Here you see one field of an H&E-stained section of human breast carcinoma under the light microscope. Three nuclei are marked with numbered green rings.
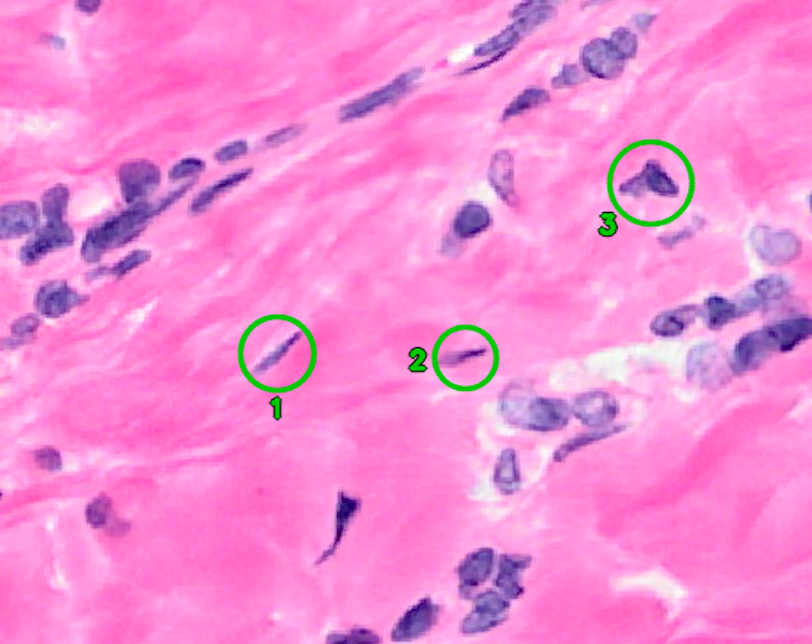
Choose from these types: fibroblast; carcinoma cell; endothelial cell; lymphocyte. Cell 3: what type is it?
lymphocyte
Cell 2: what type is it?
fibroblast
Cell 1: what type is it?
fibroblast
